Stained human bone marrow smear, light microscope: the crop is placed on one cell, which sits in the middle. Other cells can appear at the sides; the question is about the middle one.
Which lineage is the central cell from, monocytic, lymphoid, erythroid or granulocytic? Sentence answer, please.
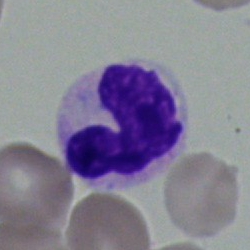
Attributed to the granulocytic lineage is the centrally located cell.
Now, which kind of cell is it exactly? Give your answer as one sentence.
At the center of the crop sits a band neutrophil.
